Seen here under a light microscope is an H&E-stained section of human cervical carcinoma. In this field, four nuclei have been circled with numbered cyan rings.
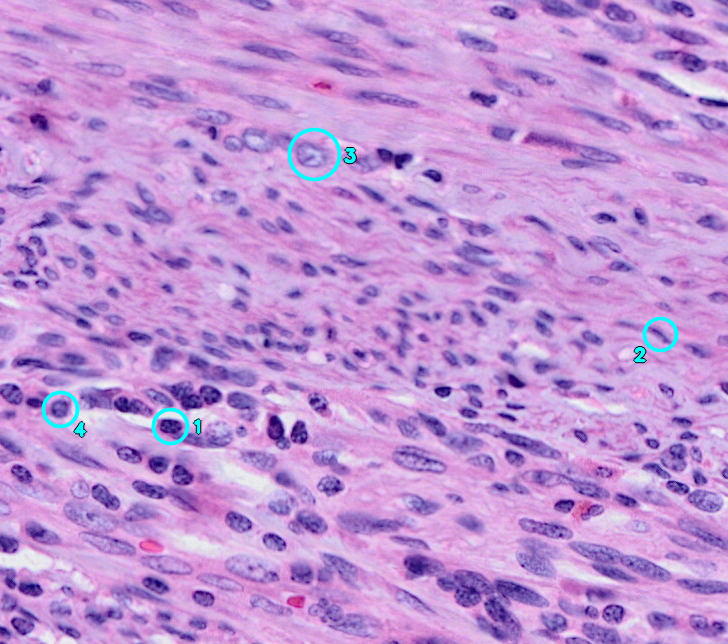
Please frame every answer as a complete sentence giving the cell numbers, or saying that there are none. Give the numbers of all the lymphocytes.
The cells identified by the numbers 1 and 4 are lymphocytes.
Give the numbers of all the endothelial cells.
Of all the numbered cells, only one is an endothelial cell, and that is cell 3.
